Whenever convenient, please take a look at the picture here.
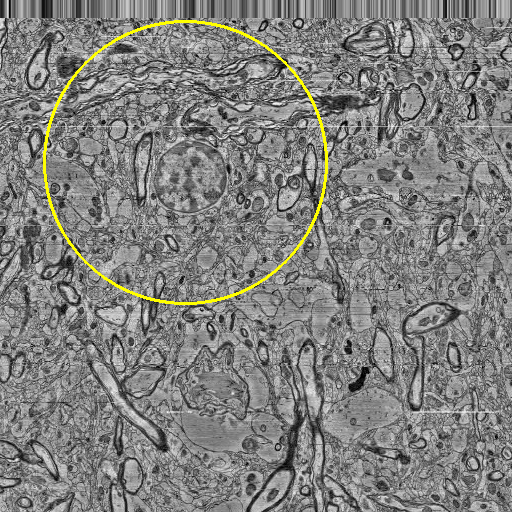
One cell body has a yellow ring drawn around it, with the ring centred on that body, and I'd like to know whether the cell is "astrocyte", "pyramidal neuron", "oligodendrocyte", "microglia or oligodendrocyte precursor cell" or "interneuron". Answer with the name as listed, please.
microglia or oligodendrocyte precursor cell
